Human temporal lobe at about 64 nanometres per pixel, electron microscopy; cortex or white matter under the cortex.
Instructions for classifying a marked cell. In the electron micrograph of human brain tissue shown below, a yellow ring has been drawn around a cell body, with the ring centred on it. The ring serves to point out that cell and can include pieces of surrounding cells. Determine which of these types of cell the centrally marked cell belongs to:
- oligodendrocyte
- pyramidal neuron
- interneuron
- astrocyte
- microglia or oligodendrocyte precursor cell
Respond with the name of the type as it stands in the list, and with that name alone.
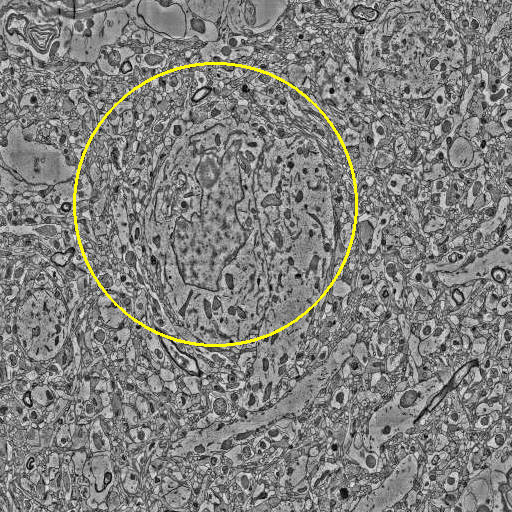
interneuron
